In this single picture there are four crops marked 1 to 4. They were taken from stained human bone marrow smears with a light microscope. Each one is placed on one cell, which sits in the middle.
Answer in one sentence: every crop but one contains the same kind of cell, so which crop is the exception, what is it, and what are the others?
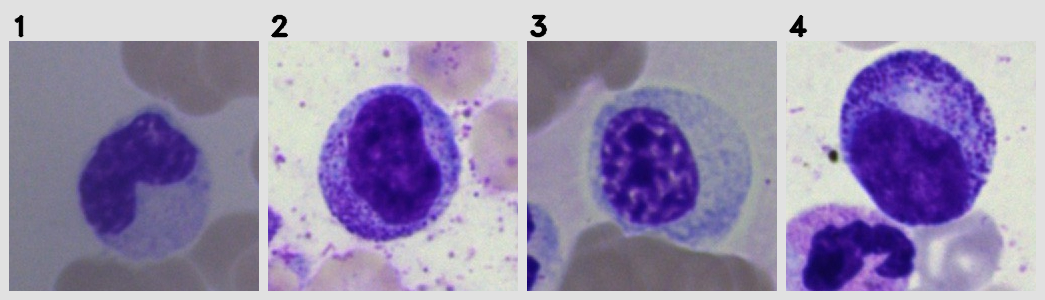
Crop 1 differs: it is a metamyelocyte, and all the other crops show myelocytes.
